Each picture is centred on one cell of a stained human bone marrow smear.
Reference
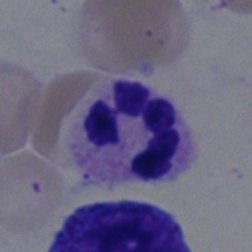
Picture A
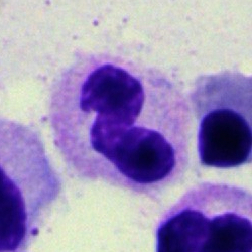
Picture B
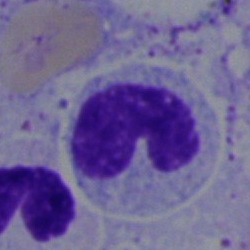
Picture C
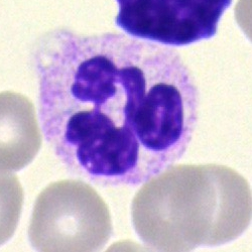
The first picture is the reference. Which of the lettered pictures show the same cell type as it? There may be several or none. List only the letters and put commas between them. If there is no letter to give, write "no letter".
A, C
